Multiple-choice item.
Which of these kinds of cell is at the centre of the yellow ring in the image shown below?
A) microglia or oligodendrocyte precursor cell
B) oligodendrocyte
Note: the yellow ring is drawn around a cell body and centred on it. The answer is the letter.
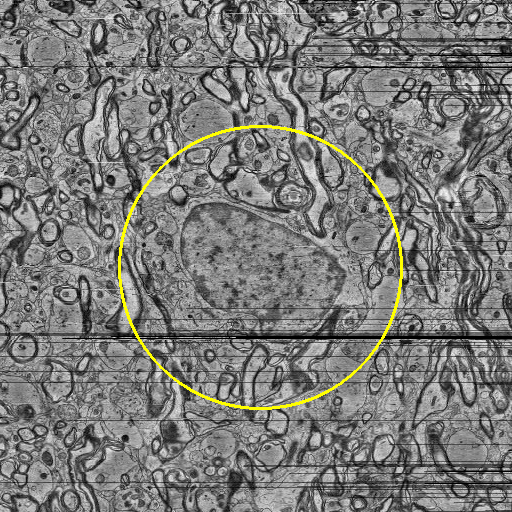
A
